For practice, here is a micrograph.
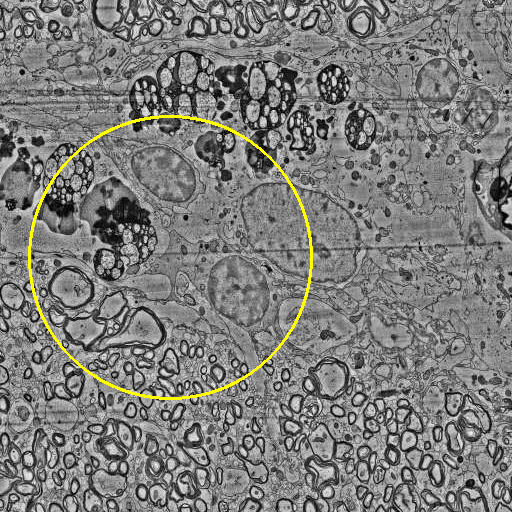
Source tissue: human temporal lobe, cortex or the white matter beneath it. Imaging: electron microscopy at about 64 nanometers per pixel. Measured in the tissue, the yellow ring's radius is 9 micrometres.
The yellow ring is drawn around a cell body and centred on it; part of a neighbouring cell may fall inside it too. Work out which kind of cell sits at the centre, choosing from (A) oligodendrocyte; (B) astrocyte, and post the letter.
A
